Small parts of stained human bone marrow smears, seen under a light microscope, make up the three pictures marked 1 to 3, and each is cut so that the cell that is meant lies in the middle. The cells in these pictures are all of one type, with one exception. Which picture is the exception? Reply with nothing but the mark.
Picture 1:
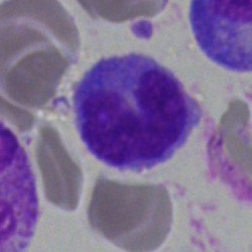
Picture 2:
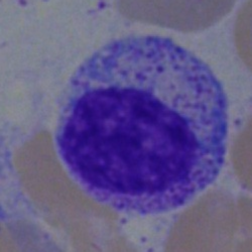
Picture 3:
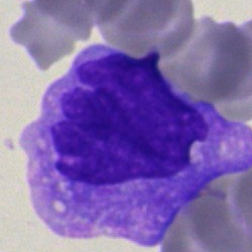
2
